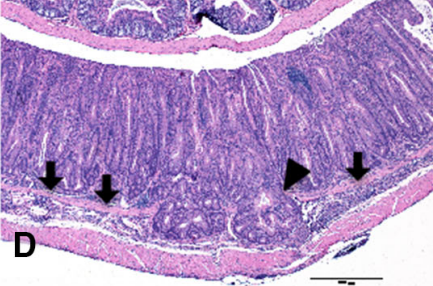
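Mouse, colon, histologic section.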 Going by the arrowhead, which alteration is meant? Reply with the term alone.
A: Submucosal herniation of the mucosal glands.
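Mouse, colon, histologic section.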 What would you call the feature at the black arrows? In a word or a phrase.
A: Muscularis mucosa.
